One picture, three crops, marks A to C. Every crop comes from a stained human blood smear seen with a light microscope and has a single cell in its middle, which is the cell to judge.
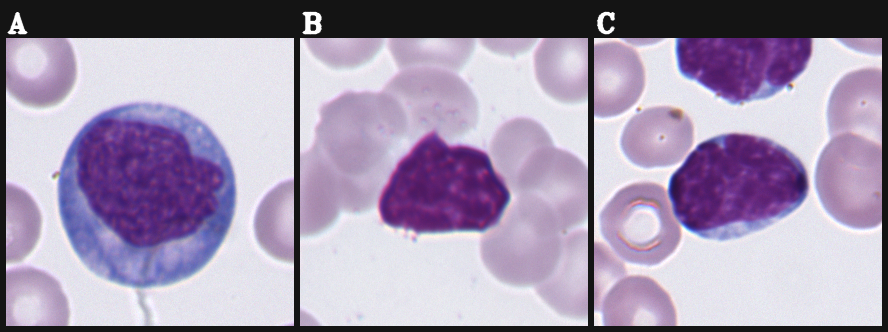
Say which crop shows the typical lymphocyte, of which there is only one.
C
